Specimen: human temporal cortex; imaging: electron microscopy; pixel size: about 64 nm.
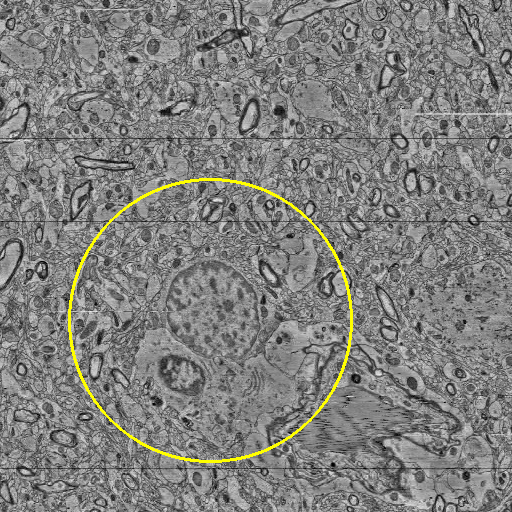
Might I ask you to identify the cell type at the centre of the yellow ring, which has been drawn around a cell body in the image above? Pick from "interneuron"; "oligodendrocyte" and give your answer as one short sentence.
The centre of the ring falls on an oligodendrocyte.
